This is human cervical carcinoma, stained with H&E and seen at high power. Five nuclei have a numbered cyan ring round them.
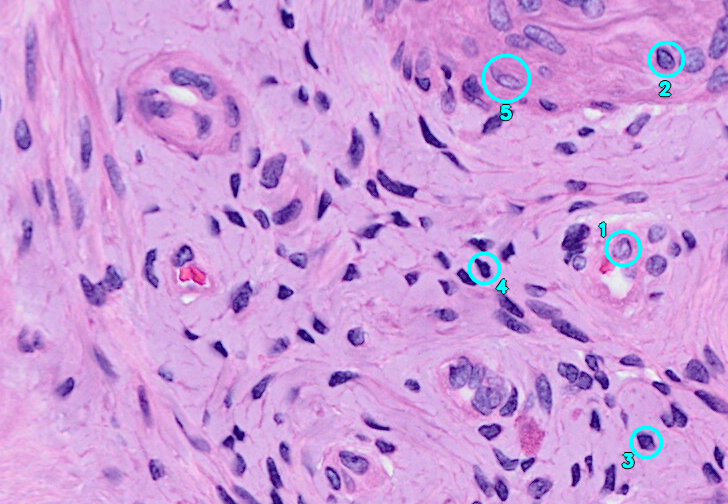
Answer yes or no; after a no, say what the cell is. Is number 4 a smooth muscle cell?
No, it is a fibroblast.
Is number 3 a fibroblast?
Yes.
